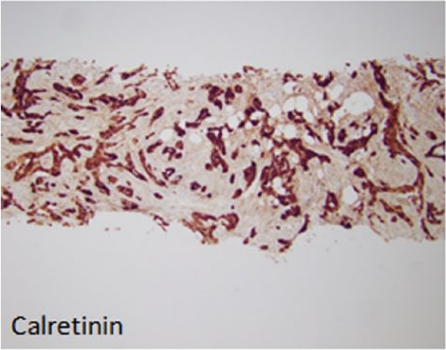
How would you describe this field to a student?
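This low-power view of a core biopsy shows tumor cells arranged in branching cords and clusters that stain dark brown. The stained cell groups infiltrate a paler, lightly brown fibrous stroma. Round clear fat spaces are scattered among the cords, especially toward the right.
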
